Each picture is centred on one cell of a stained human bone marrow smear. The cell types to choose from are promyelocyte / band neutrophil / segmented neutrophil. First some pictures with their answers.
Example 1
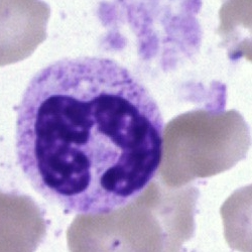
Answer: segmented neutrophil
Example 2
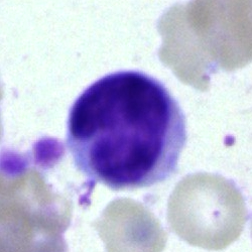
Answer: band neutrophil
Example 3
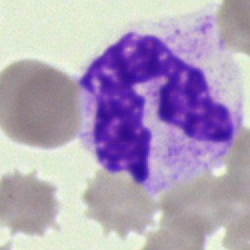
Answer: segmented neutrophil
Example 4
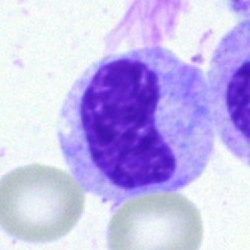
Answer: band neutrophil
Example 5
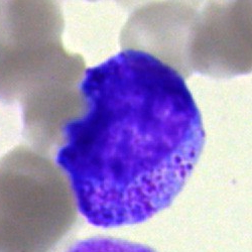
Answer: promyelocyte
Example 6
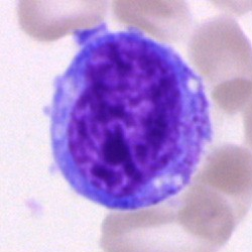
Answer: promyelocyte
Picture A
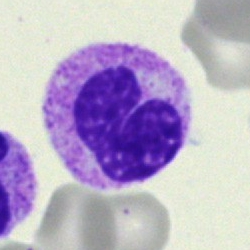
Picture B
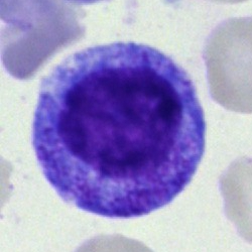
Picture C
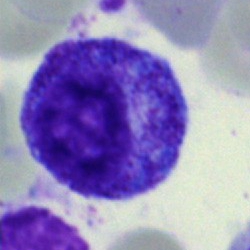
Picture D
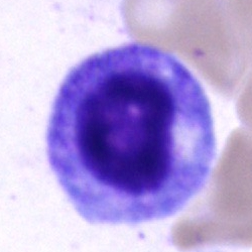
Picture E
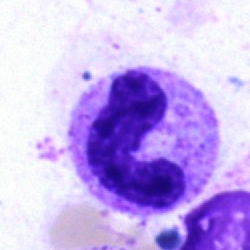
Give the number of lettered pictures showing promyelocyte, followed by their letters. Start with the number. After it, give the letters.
3: B, C, D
